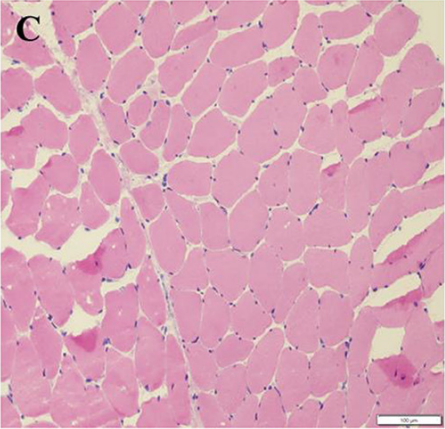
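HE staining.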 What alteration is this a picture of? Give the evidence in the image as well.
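Fiber cross-sections range from small to large. Fibers are less uniformly polygonal and some are rounded. Wider gaps between fibers than in a uniform section. That points to this answer: increased variations in fiber size.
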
